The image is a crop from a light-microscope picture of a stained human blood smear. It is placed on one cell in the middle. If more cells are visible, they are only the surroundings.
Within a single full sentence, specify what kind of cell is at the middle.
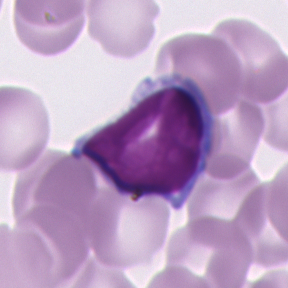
The cell at the central position in this crop is a lymphocyte.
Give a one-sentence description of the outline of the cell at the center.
An irregular outline, ragged or marked by projections, surrounds this cell.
